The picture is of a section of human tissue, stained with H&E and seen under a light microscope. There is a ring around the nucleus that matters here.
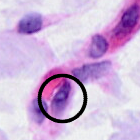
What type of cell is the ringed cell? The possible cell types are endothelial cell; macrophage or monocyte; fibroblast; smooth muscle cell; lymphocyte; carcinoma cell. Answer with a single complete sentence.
By cell type, the ringed cell is an endothelial cell.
